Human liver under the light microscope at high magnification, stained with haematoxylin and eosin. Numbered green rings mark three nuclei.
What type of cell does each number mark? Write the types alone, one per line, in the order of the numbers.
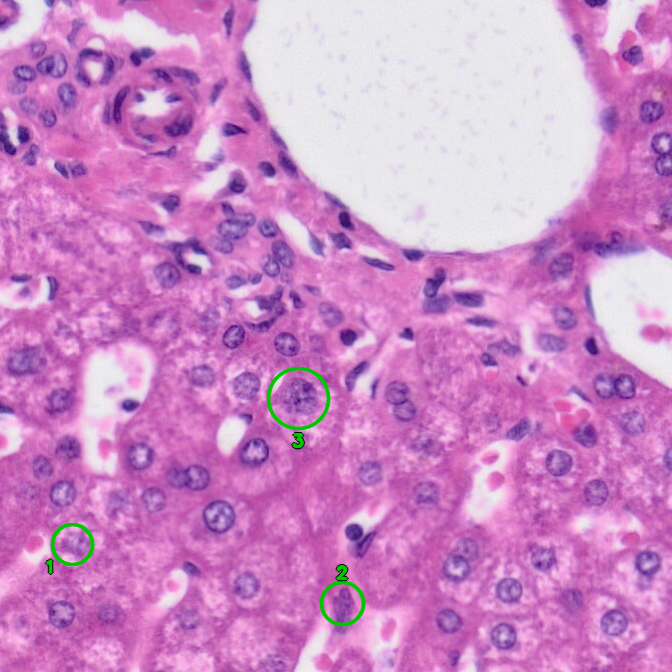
hepatocyte
Kupffer cell
hepatocyte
